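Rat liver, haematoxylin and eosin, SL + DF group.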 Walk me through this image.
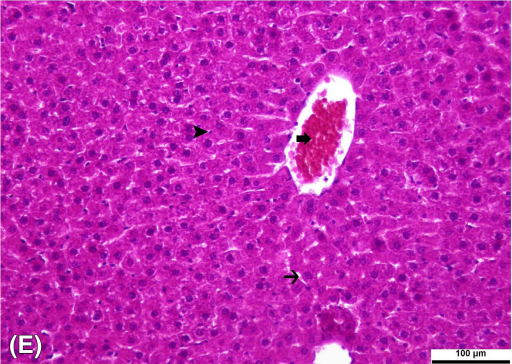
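The central vein lumen is packed with red blood cells, indicating congestion. Hepatocytes are polygonal with pink cytoplasm and round purple nuclei, some binucleate. Sinusoids appear as narrow clear spaces between the cords, lined by flattened cells with small dark nuclei.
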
